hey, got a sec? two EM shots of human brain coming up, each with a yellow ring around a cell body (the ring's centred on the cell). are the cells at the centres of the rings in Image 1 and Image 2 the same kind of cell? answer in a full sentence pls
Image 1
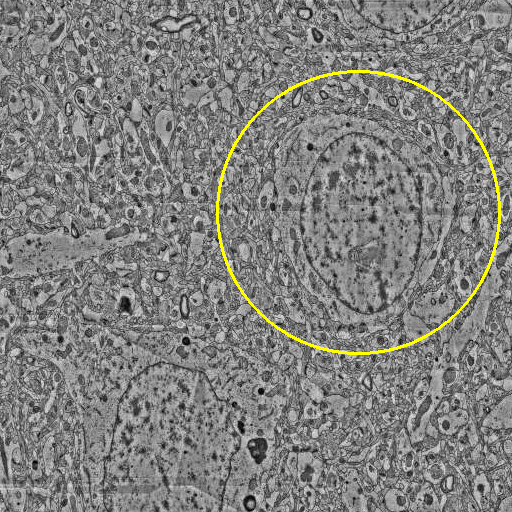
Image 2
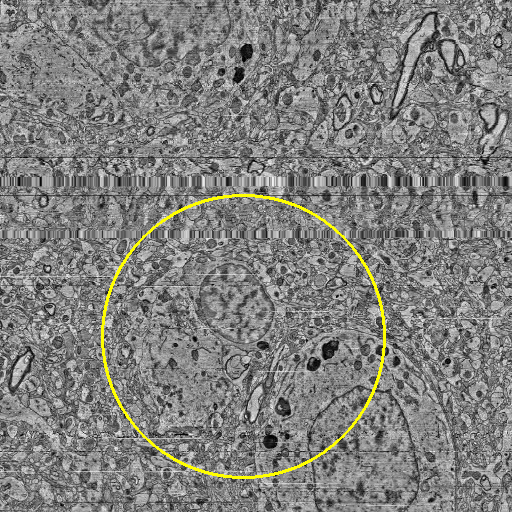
No, they are two kinds of cell.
